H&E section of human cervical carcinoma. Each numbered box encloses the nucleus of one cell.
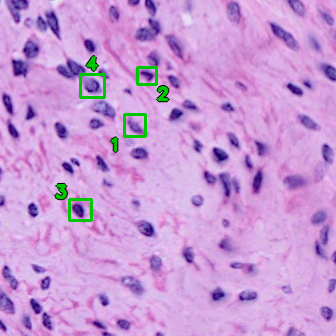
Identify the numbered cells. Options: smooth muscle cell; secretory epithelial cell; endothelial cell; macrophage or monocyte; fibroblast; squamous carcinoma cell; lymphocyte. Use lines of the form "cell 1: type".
cell 1: smooth muscle cell
cell 2: smooth muscle cell
cell 3: smooth muscle cell
cell 4: fibroblast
